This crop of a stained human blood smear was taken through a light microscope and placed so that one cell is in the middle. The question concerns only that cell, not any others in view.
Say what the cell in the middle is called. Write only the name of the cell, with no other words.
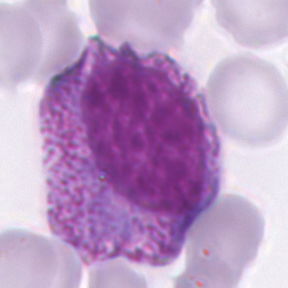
promyelocyte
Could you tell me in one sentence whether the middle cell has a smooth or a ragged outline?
Rather than running smoothly, the cell border is ragged or carries projections.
